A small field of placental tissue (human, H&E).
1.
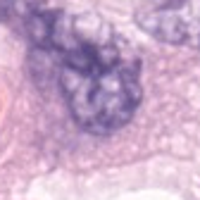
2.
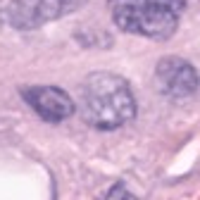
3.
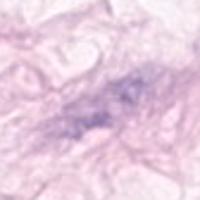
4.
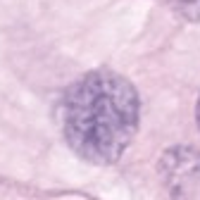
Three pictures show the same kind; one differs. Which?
Picture 3: a vascular myocyte, while the others are cytotrophoblasts.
